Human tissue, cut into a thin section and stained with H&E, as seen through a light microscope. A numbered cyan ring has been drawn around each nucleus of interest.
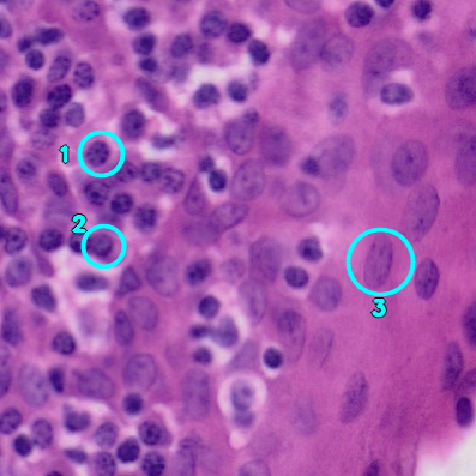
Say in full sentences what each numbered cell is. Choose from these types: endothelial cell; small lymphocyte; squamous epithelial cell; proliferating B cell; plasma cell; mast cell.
Cells 1 and 2 are plasma cells. Cell 3 is a squamous epithelial cell.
